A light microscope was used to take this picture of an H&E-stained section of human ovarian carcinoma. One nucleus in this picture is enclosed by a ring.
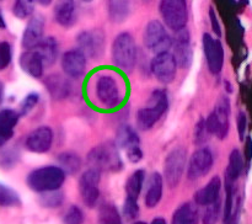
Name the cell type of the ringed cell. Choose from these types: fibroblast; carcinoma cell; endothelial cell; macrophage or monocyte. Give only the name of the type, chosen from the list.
carcinoma cell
